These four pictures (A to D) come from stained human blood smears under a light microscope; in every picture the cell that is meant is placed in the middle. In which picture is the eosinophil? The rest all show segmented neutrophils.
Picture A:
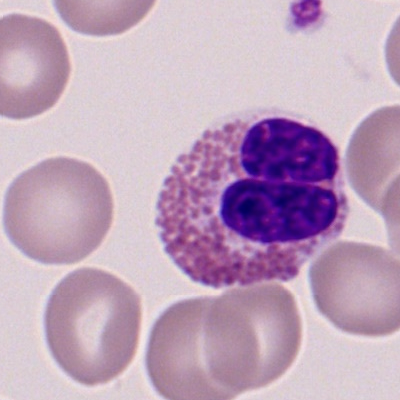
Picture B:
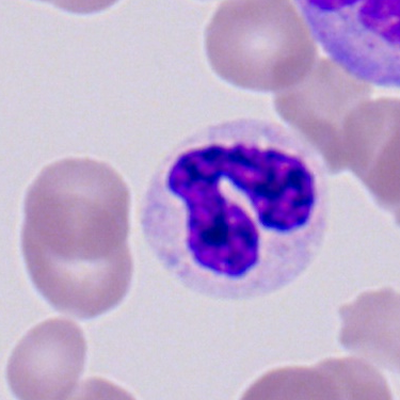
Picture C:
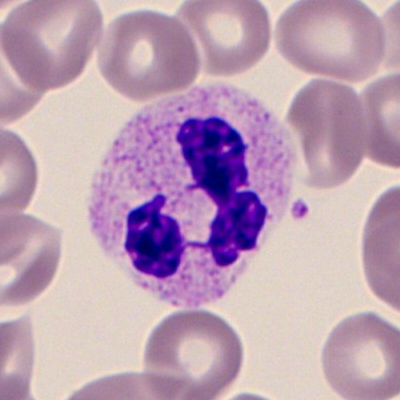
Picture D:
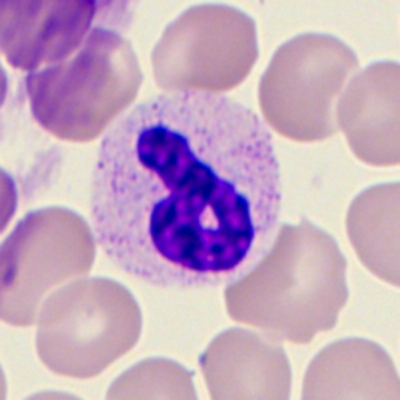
A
